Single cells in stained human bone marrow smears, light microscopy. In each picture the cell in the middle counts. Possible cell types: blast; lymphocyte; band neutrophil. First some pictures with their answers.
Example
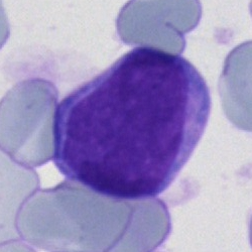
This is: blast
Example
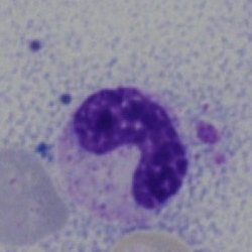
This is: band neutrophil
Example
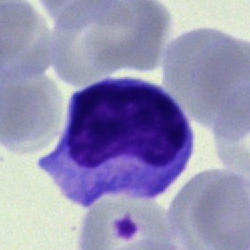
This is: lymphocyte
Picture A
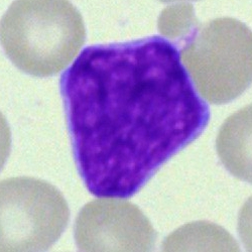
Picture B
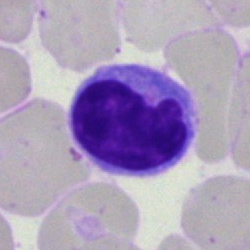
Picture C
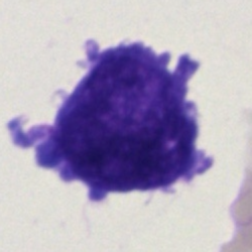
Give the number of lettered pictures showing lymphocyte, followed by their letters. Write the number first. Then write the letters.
1: B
